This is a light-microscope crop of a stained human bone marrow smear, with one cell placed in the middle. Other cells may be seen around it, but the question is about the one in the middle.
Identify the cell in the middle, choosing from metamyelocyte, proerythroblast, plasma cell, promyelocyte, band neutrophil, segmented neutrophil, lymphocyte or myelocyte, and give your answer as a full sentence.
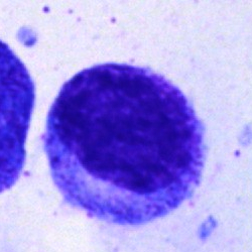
The center cell of this crop is a promyelocyte.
